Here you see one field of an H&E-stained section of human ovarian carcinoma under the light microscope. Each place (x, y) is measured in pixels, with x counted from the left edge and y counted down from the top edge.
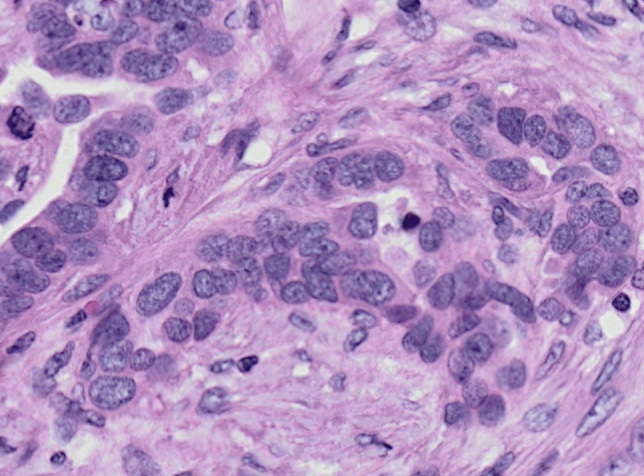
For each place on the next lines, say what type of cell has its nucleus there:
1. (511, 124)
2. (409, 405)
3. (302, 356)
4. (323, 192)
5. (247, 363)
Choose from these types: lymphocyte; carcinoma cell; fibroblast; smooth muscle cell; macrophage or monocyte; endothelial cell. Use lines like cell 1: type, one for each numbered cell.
cell 1: carcinoma cell
cell 2: fibroblast
cell 3: fibroblast
cell 4: carcinoma cell
cell 5: lymphocyte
